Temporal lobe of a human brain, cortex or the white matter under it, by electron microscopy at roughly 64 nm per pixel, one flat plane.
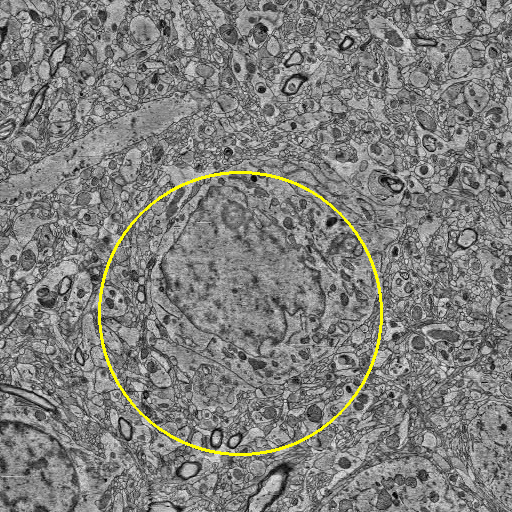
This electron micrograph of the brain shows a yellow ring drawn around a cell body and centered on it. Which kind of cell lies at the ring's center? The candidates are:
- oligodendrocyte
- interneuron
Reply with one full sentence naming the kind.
The cell lying at the ring's center in this micrograph is an interneuron.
